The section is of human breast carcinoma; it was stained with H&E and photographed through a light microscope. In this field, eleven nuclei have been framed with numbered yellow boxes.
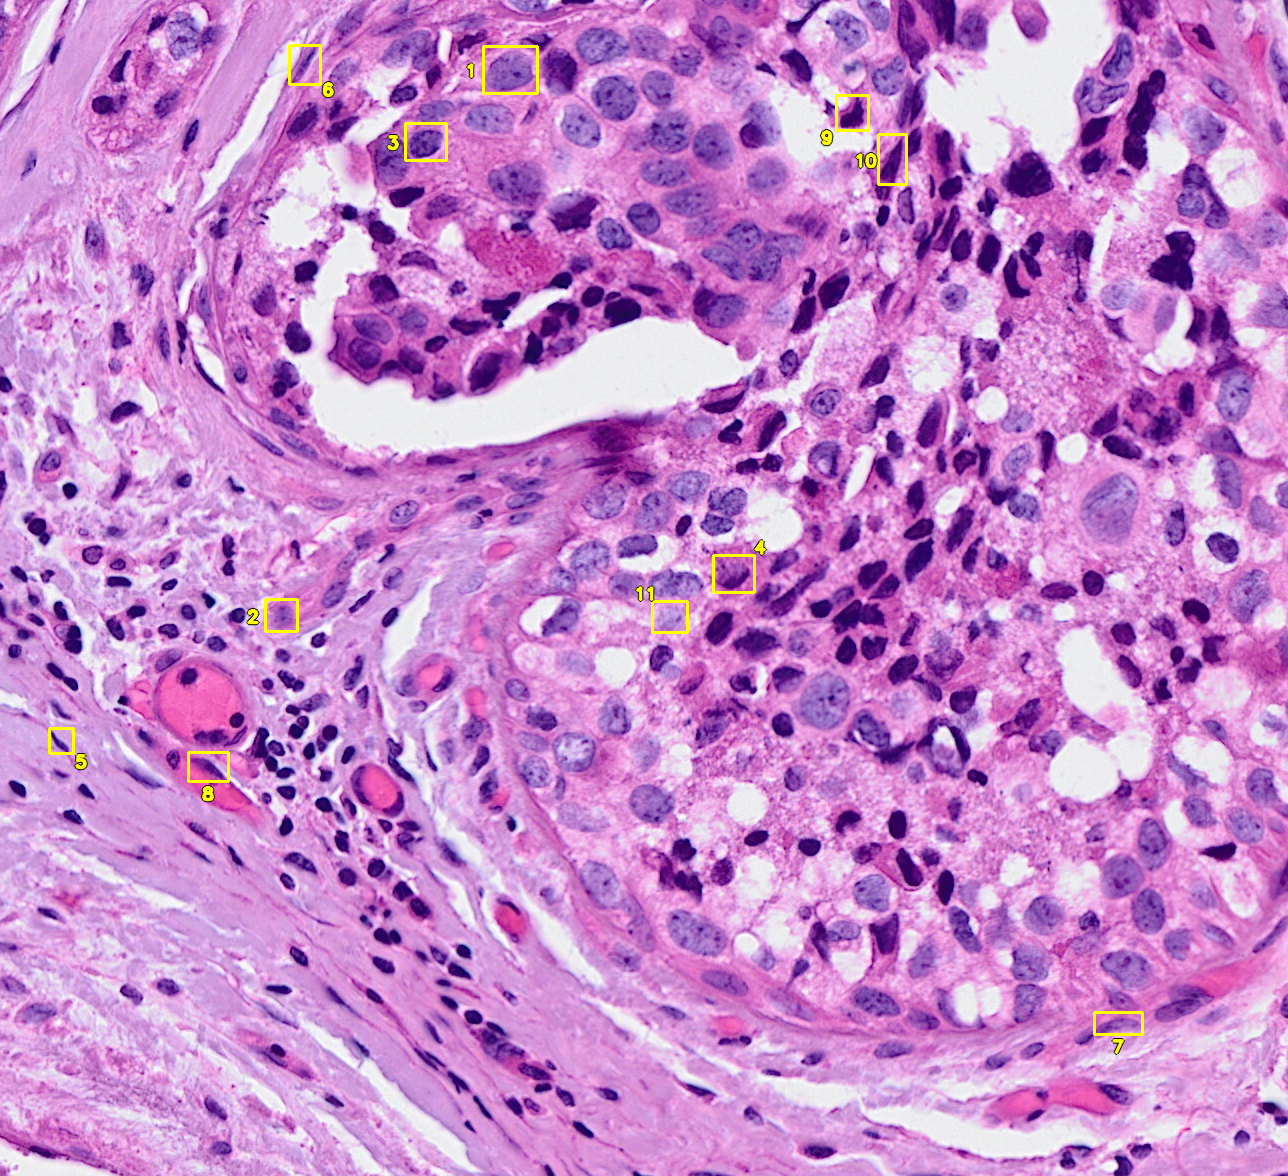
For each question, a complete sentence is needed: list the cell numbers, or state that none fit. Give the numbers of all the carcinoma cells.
The cells picked out by numbers 1, 3, 4, 9, 10 and 11 are carcinoma cells.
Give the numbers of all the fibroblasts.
Within this tissue, the cells numbered 5 and 6 are fibroblasts.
